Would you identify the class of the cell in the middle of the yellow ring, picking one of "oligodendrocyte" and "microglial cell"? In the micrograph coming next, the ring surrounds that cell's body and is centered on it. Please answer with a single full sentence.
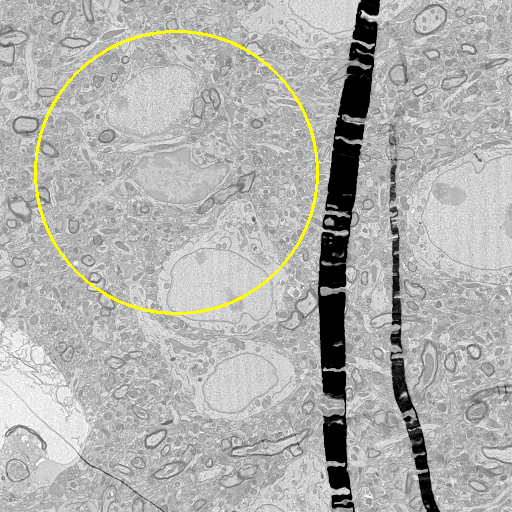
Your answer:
In the micrograph, it is a microglial cell whose body lies at the ring's center.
